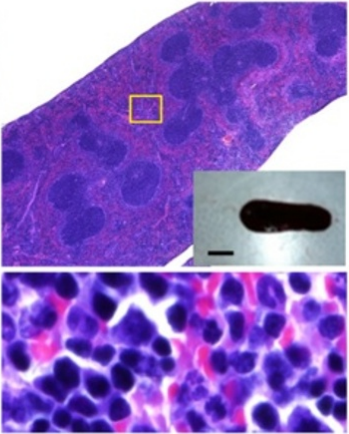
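At low power this spleen section shows many closely spaced, rounded dark-purple lymphoid nodules with pinker bands of red pulp running between them, and the inset organ is of moderate size. At high power the boxed area holds mostly cells with round, dark nuclei, with pink red blood cells and a few cells with irregular or bent nuclei among them. The architecture is largely preserved, with only a slight increase of granulocytes in the red pulp.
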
